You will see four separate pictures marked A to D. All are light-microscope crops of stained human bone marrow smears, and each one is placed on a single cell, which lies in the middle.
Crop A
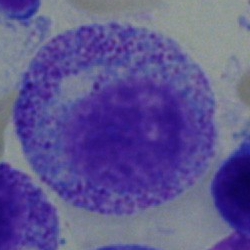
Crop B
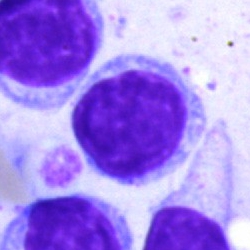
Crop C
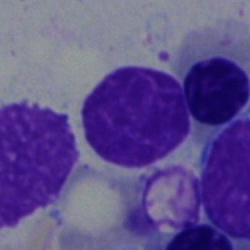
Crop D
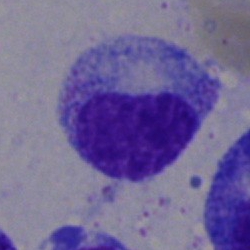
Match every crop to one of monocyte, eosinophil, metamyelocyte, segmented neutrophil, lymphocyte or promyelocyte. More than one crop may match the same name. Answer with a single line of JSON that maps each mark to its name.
{"A": "promyelocyte", "B": "lymphocyte", "C": "lymphocyte", "D": "metamyelocyte"}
